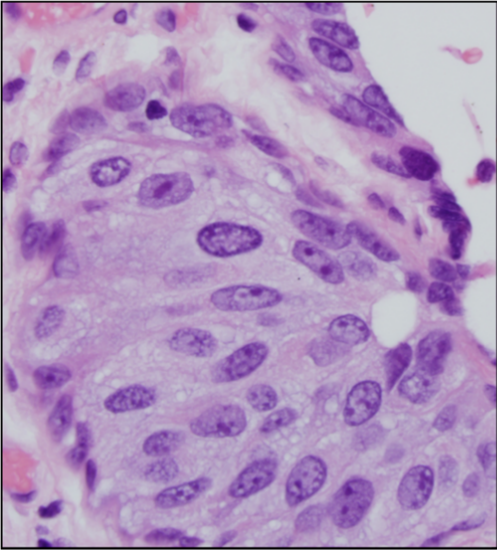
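High-grade urothelial carcinoma is shown as a thick sheet of crowded, disorderly urothelial cells stained pink and purple. The nuclei are large, oval to elongated, and vary in size and shape from cell to cell. Many are dark purple with coarse granular chromatin, and some have visible nucleoli. The cytoplasm is pale pink and contains many small clear vacuoles, giving a bubbly look. The cells do not form orderly layers. Toward the right edge the nuclei become smaller, darker and more tightly packed. A small clear space lies within the sheet, and fragments of pink stroma appear at the margins.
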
